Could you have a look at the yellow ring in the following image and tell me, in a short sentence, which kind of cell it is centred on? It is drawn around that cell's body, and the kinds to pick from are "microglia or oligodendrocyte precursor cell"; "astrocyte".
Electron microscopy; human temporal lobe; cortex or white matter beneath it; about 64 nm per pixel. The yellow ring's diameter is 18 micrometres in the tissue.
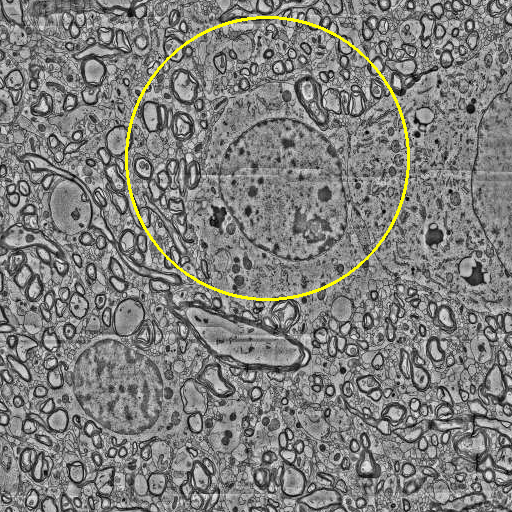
The ring is centred on the body of an astrocyte.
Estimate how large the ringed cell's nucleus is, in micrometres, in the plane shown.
In this plane, the nucleus is roughly 9 by 8 micrometres.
